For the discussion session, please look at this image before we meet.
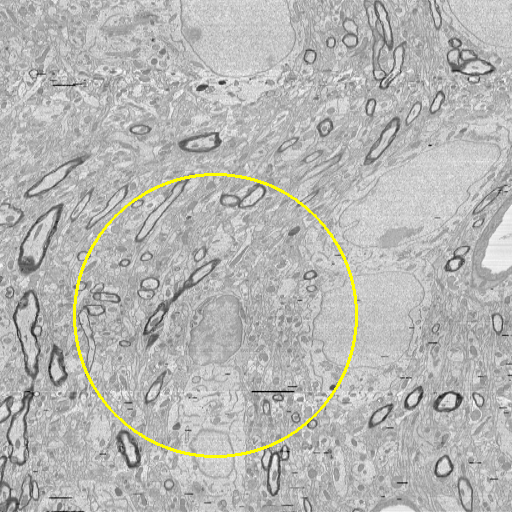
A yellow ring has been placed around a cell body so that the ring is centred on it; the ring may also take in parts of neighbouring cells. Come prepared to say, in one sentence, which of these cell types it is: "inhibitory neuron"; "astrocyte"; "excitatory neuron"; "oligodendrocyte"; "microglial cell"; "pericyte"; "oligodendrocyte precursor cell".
The cell centred in the ring is a microglial cell.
